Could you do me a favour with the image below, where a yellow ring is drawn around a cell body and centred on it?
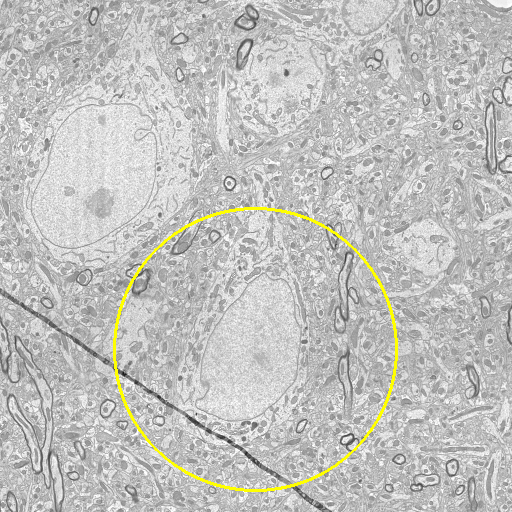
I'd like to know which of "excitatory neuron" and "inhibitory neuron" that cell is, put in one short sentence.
The cell at the ring's centre is an inhibitory neuron.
